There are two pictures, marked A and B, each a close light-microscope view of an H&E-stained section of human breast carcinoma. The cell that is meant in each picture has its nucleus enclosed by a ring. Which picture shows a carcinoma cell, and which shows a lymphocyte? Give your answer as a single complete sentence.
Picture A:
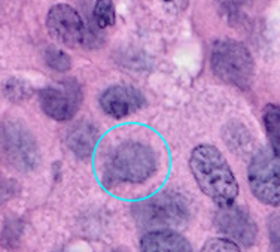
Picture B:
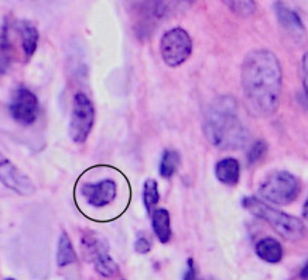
Picture A shows a carcinoma cell and picture B shows a lymphocyte.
